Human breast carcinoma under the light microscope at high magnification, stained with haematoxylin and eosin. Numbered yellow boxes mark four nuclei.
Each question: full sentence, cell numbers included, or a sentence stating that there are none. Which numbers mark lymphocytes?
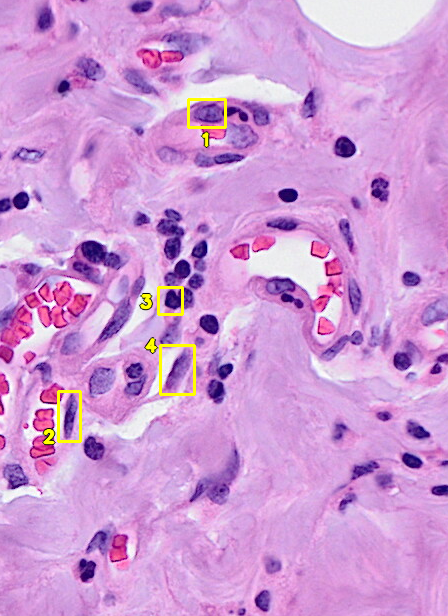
Among the marked cells, cell number 3 alone is a lymphocyte.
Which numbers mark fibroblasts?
Among the marked cells, a fibroblast is found only at number 4.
